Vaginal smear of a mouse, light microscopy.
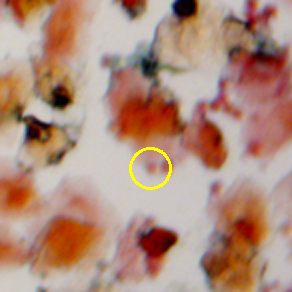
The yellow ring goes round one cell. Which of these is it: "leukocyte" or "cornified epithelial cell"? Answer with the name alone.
leukocyte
